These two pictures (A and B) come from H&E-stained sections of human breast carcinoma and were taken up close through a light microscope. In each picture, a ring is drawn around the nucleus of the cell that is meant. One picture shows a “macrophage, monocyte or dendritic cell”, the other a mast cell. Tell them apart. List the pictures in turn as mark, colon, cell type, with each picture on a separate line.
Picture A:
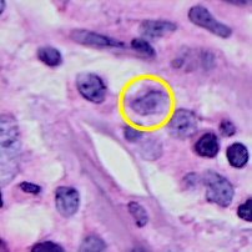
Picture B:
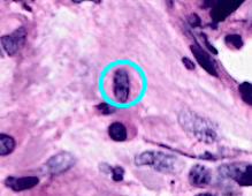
A: macrophage, monocyte or dendritic cell
B: mast cell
